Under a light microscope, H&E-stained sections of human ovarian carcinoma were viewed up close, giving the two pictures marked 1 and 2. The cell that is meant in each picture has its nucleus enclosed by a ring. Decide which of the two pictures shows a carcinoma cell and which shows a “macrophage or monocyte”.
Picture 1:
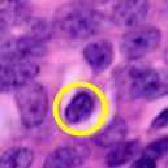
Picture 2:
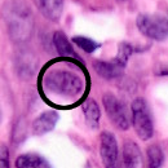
1: macrophage or monocyte
2: carcinoma cell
